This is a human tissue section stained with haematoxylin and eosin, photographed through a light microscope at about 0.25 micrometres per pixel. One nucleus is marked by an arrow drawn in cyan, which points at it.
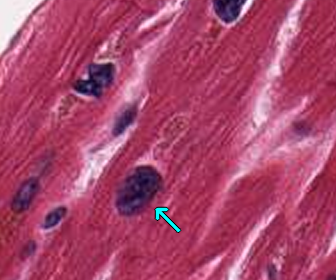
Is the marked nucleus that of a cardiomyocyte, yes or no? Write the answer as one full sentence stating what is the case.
Yes, the marked nucleus is located in a cardiomyocyte.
